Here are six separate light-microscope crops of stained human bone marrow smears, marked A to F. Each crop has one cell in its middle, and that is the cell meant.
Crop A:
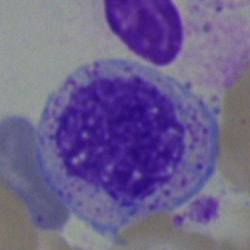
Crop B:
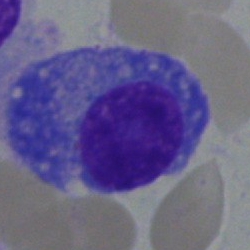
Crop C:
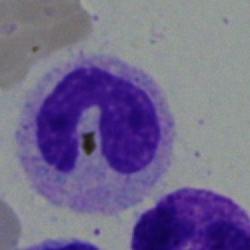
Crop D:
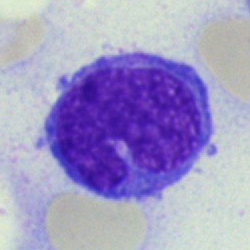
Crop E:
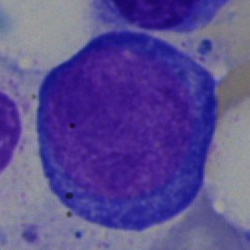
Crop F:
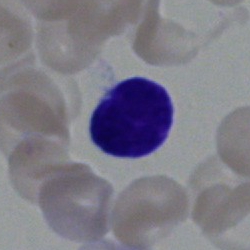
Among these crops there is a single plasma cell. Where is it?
B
